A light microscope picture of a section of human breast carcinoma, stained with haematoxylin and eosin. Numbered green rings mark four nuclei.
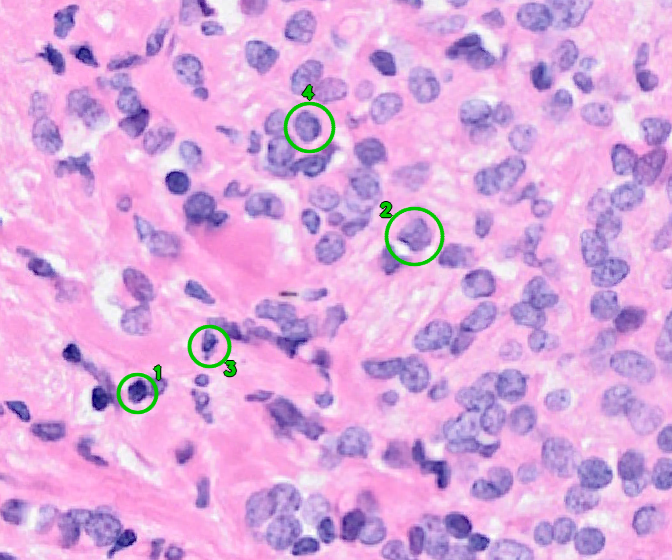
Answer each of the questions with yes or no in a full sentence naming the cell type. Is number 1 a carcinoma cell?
No, it is not a carcinoma cell that bears number 1 but a lymphocyte.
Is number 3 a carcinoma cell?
No, the cell that carries number 3 is a lymphocyte, not a carcinoma cell.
